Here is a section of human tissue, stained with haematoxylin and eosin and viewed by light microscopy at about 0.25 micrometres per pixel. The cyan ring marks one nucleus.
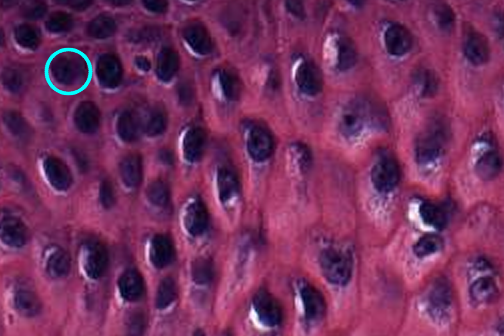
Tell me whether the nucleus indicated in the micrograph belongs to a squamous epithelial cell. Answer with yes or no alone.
yes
